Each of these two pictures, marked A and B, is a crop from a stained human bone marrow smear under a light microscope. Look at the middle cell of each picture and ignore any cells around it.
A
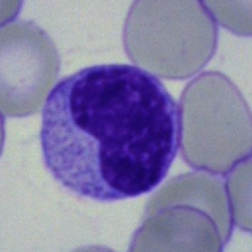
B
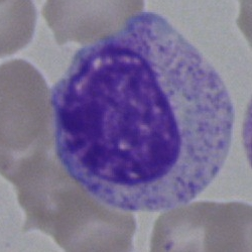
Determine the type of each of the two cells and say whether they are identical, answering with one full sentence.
No, crop A shows a metamyelocyte, with a myelocyte shown in crop B.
